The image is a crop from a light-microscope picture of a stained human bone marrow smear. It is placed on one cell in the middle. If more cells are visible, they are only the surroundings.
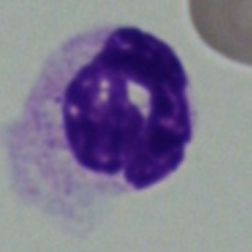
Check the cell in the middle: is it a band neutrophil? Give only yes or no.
no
